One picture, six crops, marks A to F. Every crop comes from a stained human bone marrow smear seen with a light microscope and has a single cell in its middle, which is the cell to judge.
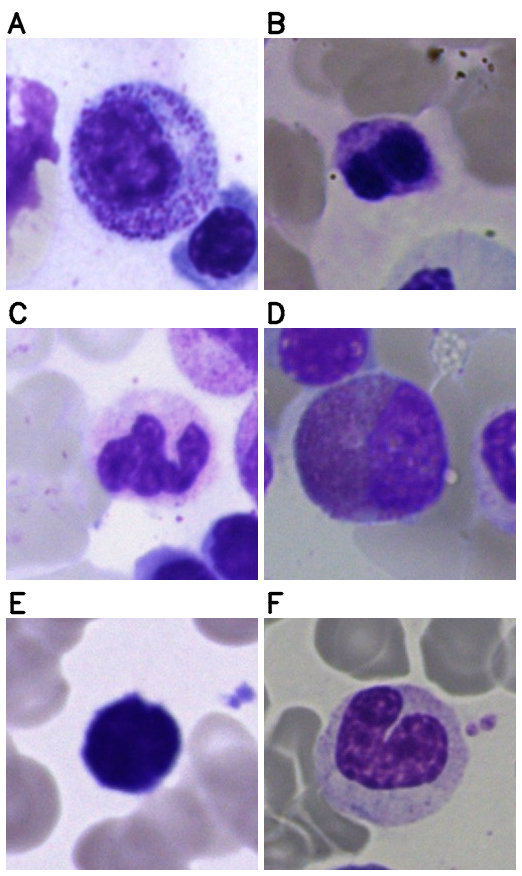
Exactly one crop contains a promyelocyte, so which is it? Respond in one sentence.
The crop marked A is the one in which a promyelocyte is shown.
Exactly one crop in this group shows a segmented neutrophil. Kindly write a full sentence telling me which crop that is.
Of the labeled crops, the one with a segmented neutrophil is crop C.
